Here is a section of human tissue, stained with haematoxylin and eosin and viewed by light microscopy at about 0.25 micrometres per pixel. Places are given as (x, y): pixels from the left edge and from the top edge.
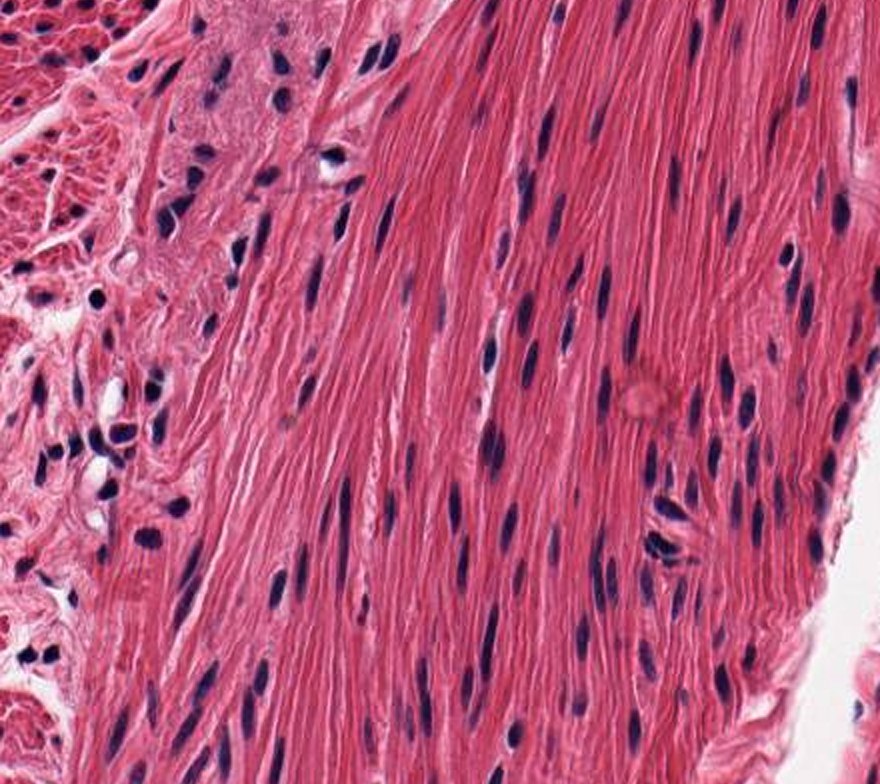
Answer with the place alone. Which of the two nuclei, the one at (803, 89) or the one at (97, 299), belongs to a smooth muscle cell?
(803, 89)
